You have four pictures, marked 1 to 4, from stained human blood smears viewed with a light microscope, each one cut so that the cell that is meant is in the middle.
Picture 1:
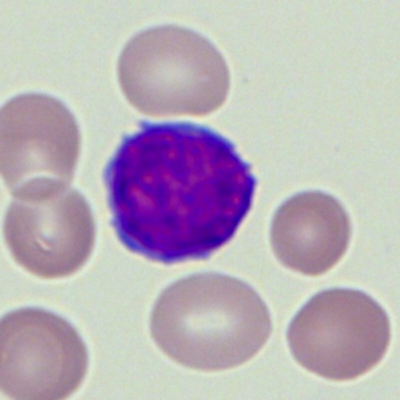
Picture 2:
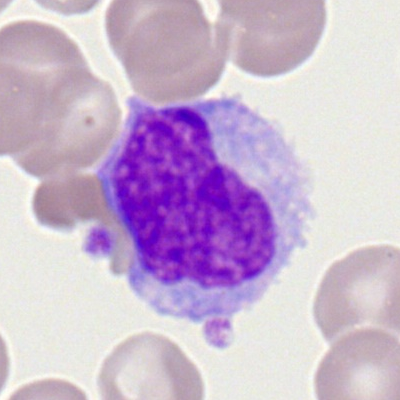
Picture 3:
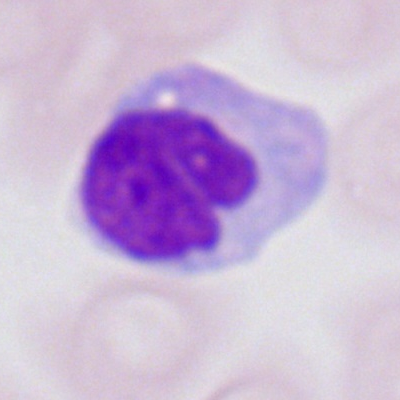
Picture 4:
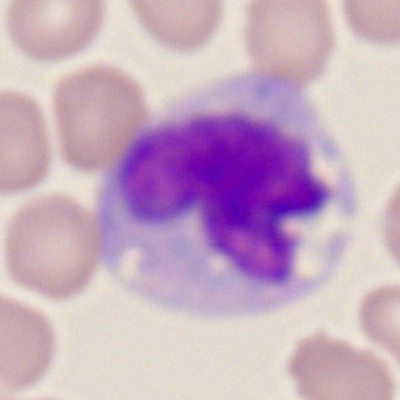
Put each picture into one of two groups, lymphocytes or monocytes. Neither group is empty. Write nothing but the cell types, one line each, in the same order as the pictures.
lymphocyte
monocyte
monocyte
monocyte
